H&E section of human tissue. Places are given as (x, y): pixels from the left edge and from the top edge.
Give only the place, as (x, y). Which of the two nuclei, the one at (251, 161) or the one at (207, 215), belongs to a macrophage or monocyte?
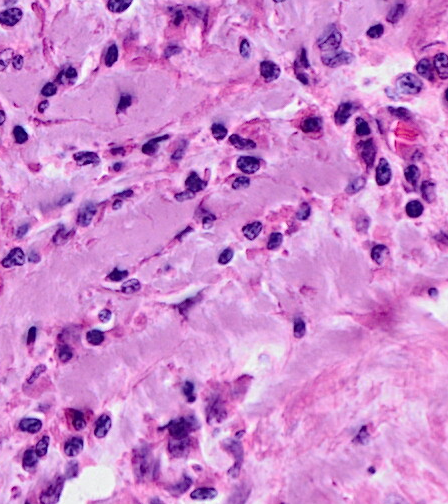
(207, 215)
